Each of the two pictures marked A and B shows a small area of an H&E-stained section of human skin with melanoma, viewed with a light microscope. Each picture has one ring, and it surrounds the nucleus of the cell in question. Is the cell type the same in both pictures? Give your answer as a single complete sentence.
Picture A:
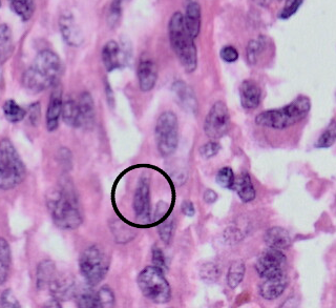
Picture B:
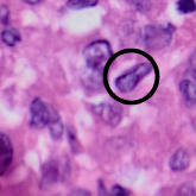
No, picture A shows a melanoma cell and picture B shows a “macrophage or monocyte”.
